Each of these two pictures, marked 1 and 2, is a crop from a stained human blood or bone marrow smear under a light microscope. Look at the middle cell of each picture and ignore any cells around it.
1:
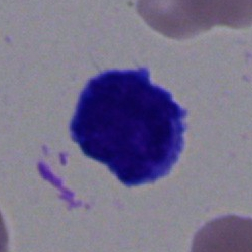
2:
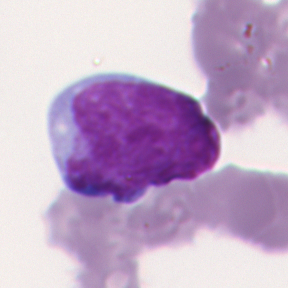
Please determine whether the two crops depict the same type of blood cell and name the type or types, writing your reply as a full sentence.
Yes, that holds, both crops show blasts.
